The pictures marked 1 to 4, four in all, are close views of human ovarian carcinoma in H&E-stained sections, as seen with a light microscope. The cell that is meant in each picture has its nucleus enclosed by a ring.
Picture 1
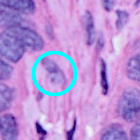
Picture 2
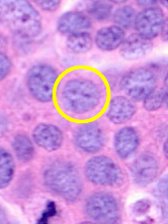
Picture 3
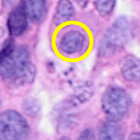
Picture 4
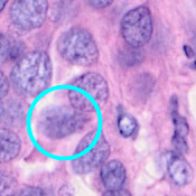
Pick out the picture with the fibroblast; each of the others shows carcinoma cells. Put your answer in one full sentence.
The fibroblast is the one in picture 1.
